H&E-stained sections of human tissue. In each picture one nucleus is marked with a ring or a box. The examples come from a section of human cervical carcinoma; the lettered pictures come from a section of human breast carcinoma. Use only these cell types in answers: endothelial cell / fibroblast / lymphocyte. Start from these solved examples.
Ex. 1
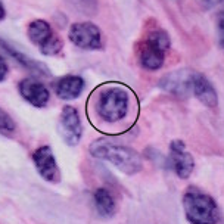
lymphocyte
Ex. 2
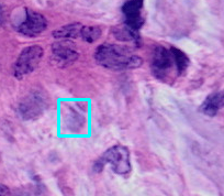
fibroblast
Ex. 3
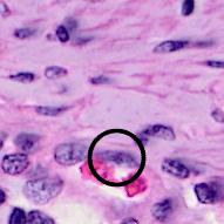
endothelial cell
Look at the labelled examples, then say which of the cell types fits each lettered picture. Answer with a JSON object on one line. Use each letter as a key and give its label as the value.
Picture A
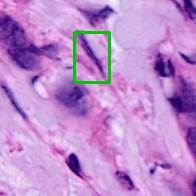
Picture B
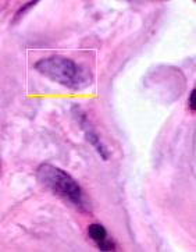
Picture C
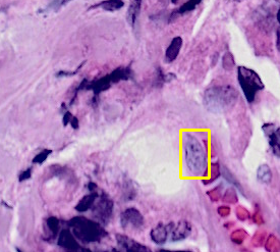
{"A": "fibroblast", "B": "fibroblast", "C": "endothelial cell"}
